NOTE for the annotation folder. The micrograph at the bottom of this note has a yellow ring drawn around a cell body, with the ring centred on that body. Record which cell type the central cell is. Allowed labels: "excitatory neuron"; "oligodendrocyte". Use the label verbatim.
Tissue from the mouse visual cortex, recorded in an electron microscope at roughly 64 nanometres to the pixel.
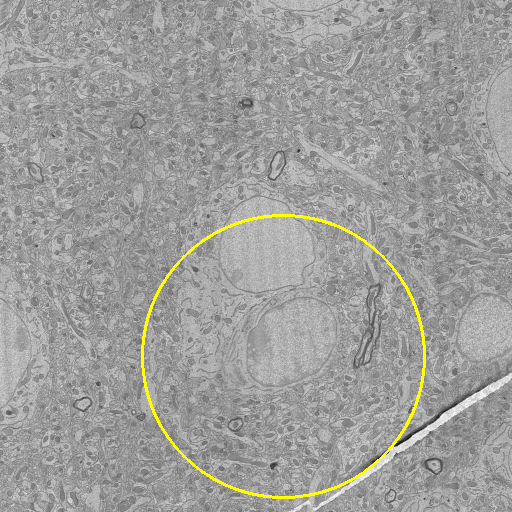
oligodendrocyte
